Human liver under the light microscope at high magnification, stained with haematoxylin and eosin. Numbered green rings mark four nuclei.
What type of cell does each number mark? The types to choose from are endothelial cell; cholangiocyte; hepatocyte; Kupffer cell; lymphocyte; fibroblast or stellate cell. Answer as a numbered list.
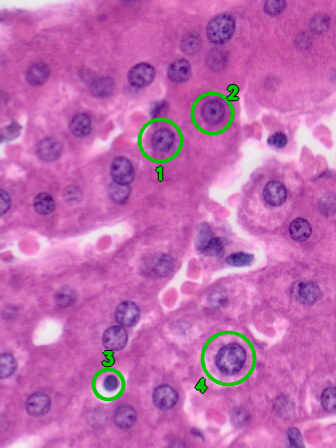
1. hepatocyte
2. hepatocyte
3. lymphocyte
4. hepatocyte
